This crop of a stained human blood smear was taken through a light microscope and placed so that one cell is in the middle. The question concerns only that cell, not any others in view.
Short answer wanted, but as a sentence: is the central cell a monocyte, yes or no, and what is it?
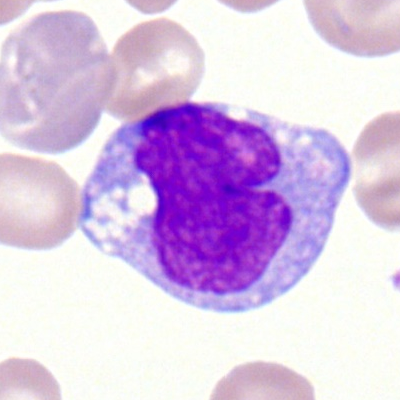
Yes, the cell under consideration, the one in the middle, is a monocyte.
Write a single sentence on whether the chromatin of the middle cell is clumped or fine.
The key point is fine chromatin with no coarse clumps.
